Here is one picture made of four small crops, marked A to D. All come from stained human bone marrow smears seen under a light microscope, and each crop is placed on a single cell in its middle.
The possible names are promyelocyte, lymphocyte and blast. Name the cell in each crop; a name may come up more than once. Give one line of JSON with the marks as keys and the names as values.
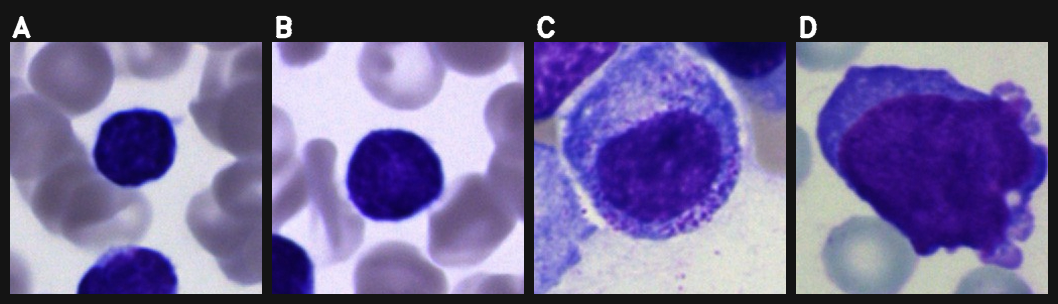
{"A": "lymphocyte", "B": "lymphocyte", "C": "promyelocyte", "D": "blast"}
